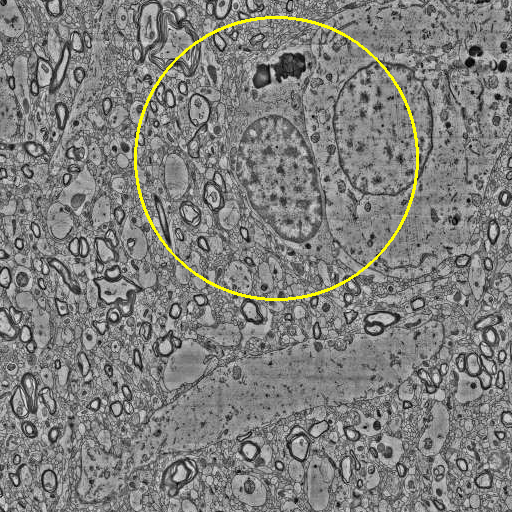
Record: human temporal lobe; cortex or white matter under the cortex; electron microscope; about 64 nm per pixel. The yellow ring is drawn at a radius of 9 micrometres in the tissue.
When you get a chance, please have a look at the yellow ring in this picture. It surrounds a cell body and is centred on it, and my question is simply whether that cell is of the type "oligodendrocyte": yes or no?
Yes, the cell is of that type.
